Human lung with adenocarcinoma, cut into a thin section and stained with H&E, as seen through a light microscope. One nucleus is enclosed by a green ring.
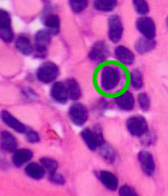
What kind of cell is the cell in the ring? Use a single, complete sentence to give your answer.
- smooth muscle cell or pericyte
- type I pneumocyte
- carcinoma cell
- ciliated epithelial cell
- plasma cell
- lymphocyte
In this tissue sample, the cell in the ring is a lymphocyte.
